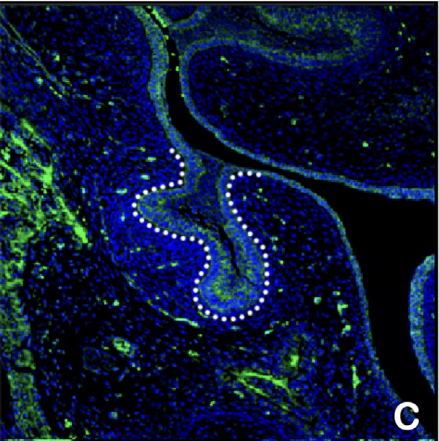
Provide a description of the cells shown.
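This is a developing tooth germ in which the tooth epithelium, continuous with the overlying surface epithelium, has folded down into the jaw mesenchyme. The folded epithelial layer is traced by a dotted line and surrounded by densely packed mesenchymal cells with blue nuclei; green signal lies along the epithelial layers and in scattered cells of the surrounding tissue.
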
